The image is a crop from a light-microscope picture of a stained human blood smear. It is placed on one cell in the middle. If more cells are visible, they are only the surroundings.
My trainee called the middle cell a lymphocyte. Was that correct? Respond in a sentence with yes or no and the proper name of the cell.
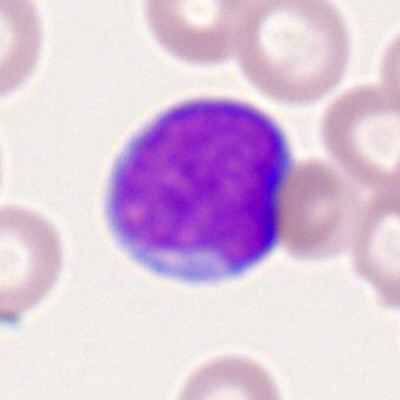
No, the correct answer for the middle cell is a myeloblast, not a lymphocyte.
